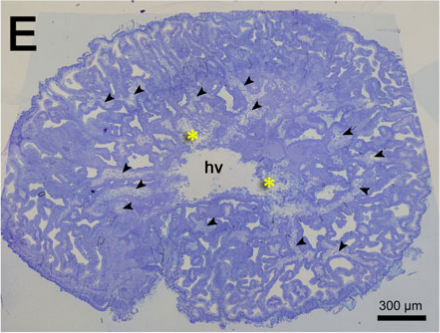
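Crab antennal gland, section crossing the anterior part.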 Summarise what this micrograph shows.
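The tubules form a dense, labyrinth-like meshwork from the outer edge inward, their walls made of closely set tubular cells with small lumina between them. In the centre lies a large, empty-looking cavity, a haemolymph vessel, with some loose pale material at its rim where blood cells gather. Around this cavity, paler loosely textured spaces lie between the tubules, arranged roughly radially. The outline of the whole section is rounded, with a notch at the bottom.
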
